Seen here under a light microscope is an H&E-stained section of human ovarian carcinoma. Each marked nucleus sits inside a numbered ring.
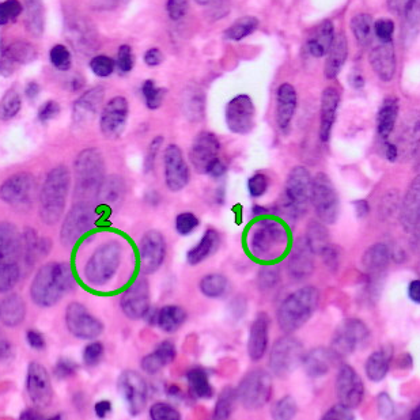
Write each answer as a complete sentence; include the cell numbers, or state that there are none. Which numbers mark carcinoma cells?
Only cell 1 is a carcinoma cell; none of the other numbered cells is.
